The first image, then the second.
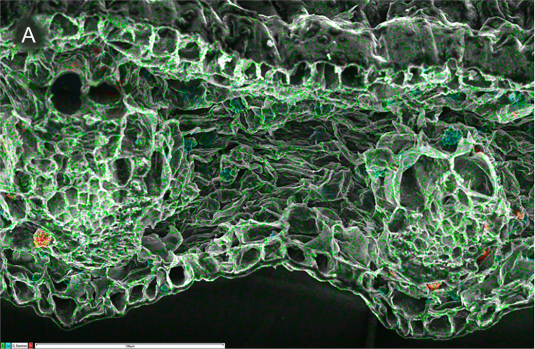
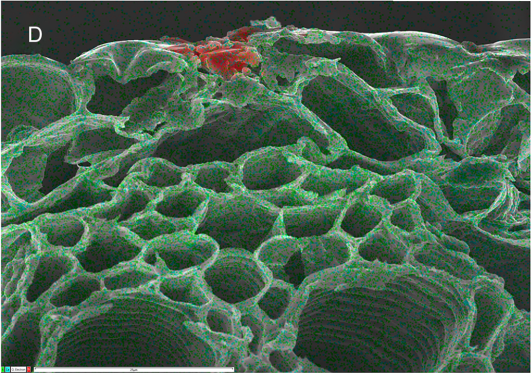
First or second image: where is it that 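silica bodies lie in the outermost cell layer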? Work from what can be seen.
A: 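The second image. Second image: a red deposit sits in the surface cell layer at the top. First image: the surface cell layers show no red; red bodies lie only inside the section.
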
